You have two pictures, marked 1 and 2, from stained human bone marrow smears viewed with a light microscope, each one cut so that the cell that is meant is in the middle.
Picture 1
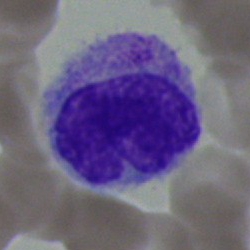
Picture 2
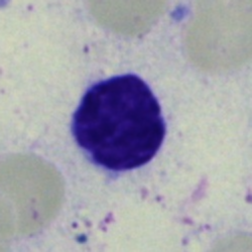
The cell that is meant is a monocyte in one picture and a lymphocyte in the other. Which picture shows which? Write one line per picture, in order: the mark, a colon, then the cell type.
1: monocyte
2: lymphocyte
